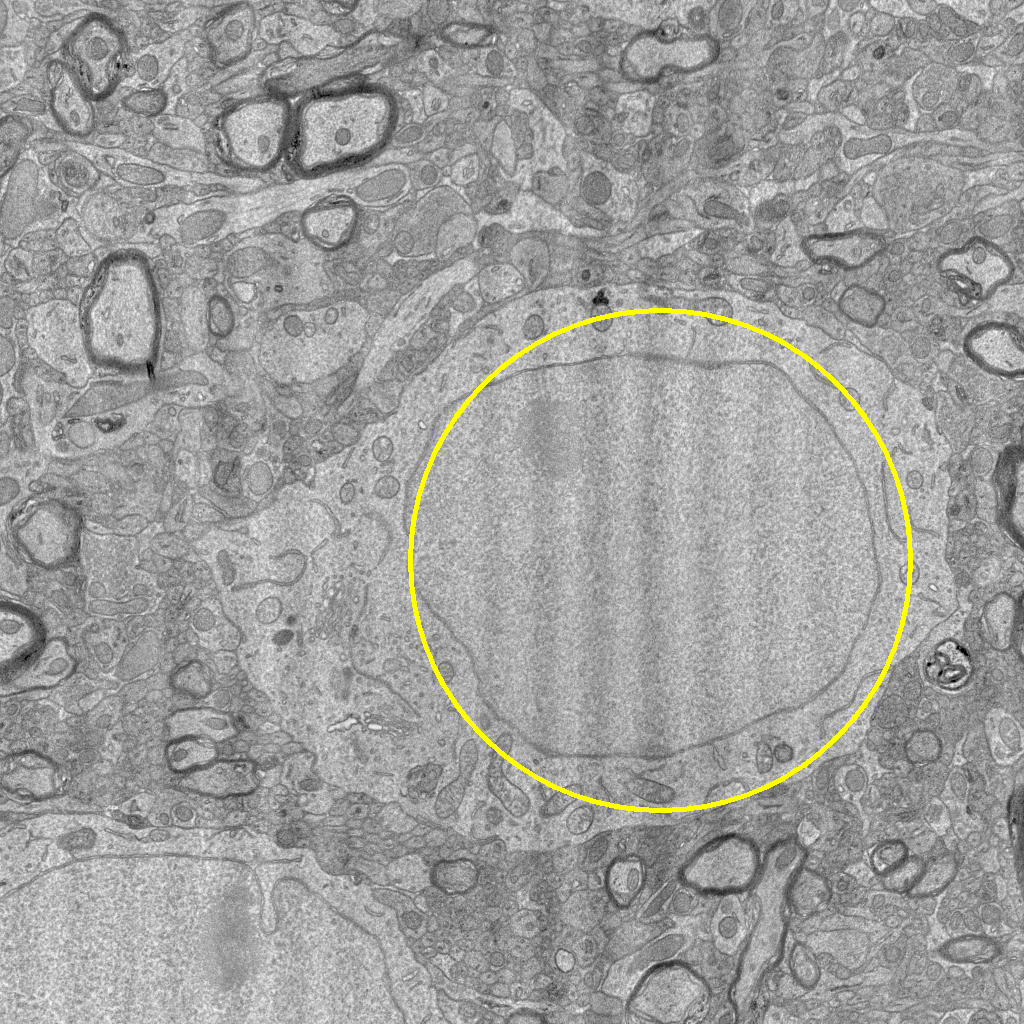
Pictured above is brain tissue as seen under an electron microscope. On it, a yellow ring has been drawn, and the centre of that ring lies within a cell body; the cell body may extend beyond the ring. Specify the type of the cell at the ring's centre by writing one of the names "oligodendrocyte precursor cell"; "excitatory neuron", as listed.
excitatory neuron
